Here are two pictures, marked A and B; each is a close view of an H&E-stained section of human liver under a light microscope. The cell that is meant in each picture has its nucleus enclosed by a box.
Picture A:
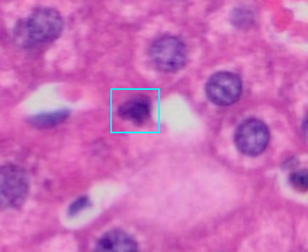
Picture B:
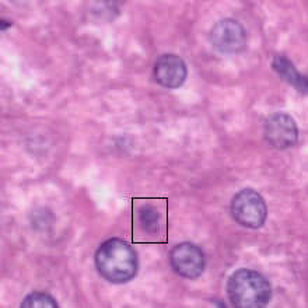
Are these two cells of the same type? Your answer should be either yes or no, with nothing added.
yes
